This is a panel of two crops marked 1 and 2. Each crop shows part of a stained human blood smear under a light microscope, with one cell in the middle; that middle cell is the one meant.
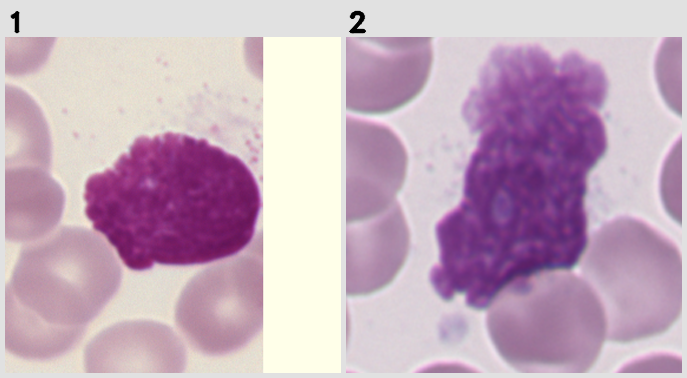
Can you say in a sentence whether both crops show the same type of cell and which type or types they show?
Yes, both of the crops show smudge cells.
